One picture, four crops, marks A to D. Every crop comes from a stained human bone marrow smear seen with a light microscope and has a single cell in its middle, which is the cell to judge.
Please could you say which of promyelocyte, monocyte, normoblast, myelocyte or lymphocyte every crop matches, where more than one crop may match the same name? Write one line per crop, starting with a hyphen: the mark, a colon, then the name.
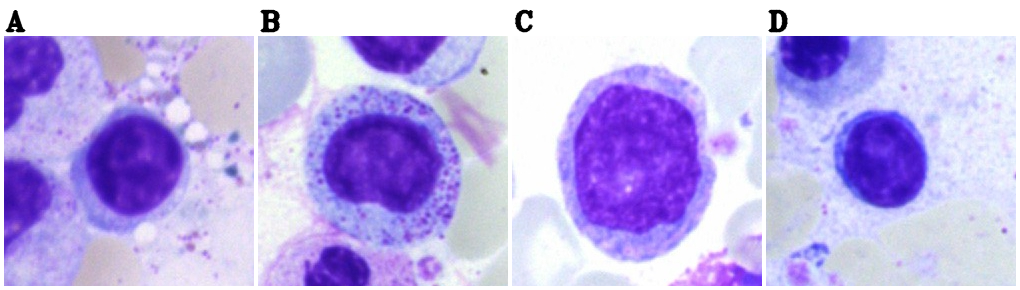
- A: lymphocyte
- B: myelocyte
- C: monocyte
- D: lymphocyte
